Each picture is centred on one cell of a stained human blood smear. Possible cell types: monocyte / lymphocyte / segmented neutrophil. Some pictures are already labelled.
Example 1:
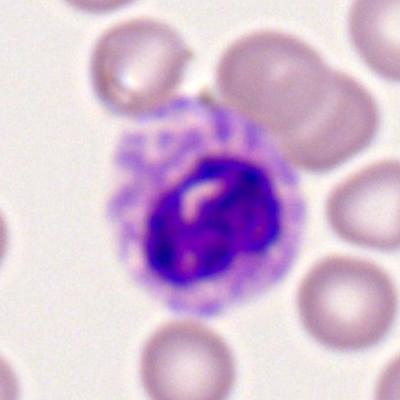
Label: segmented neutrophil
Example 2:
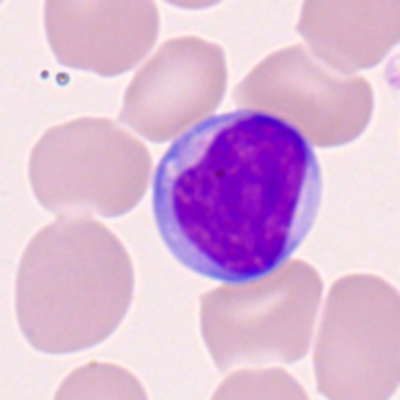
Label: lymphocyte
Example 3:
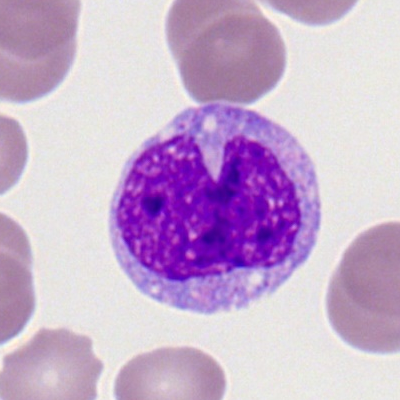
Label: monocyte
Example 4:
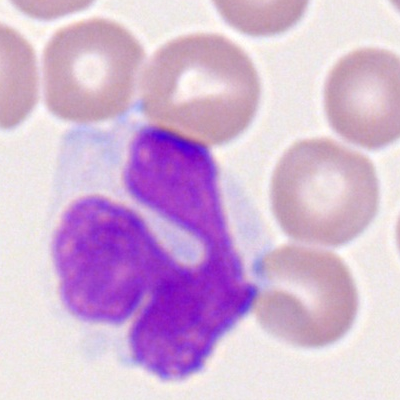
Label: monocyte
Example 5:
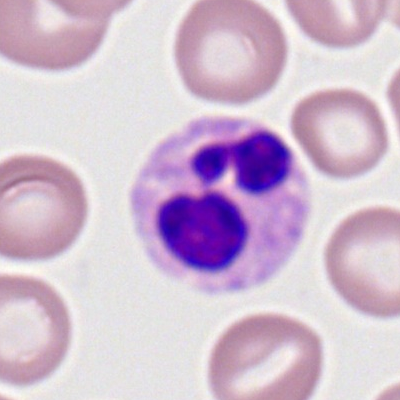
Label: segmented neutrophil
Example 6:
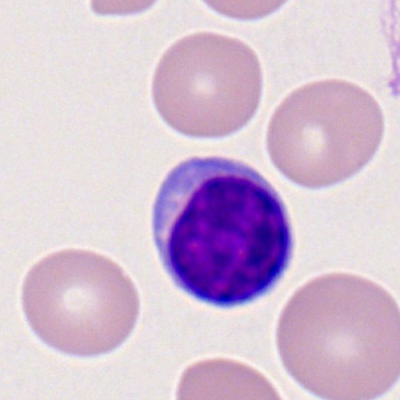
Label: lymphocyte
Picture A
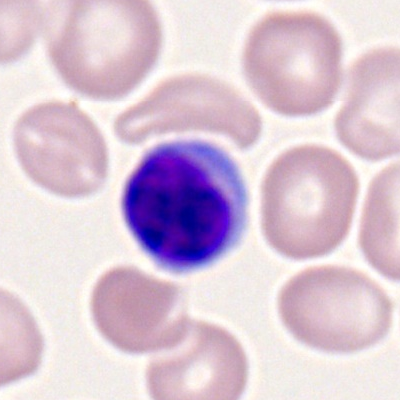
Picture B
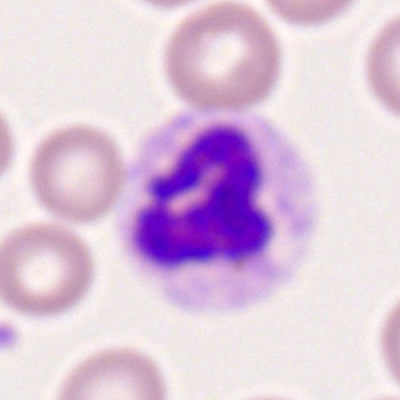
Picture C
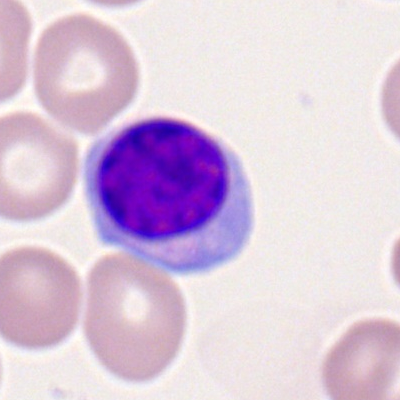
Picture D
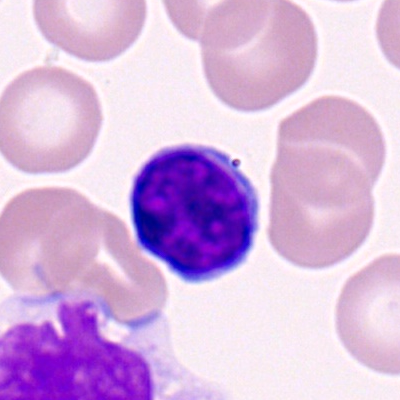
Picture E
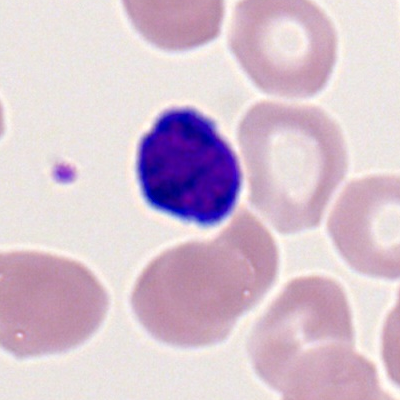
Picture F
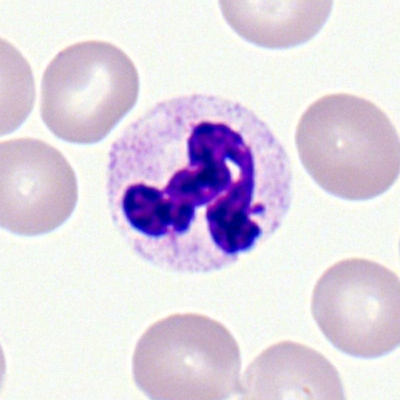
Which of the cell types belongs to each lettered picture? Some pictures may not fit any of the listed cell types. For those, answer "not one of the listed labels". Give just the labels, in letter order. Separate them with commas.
lymphocyte, segmented neutrophil, lymphocyte, lymphocyte, lymphocyte, segmented neutrophil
